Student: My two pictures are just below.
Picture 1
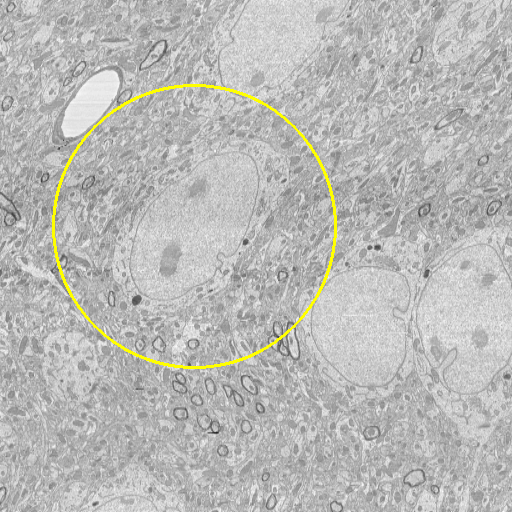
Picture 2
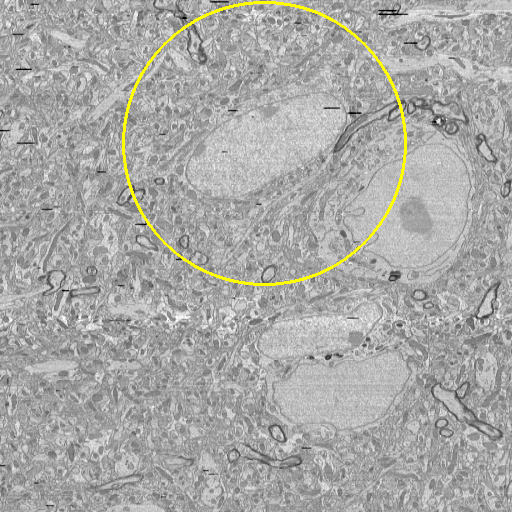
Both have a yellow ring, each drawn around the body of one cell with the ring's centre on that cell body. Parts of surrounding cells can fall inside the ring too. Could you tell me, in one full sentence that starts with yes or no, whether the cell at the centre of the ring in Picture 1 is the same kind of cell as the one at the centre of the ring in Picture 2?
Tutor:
No, the two cells are of two kinds.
